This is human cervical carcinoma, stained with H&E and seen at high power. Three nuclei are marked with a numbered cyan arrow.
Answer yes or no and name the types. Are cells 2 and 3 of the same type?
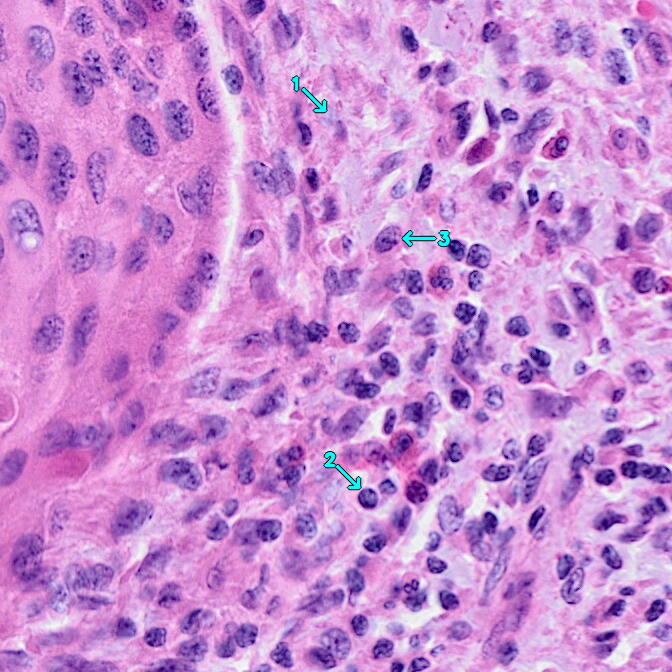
No, in this section cell 2 is a lymphocyte and cell 3 is a macrophage or monocyte.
